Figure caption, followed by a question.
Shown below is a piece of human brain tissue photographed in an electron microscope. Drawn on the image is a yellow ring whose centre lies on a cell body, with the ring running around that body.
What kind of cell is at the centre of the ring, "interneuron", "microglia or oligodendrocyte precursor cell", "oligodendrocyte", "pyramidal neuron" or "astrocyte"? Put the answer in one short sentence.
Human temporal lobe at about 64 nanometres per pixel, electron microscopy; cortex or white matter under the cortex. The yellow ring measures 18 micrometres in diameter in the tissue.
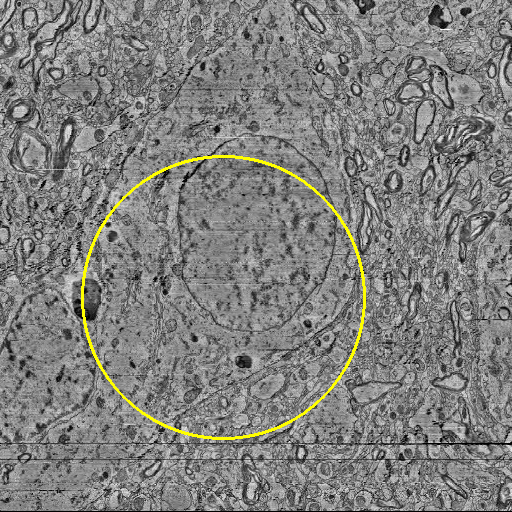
The ring marks the cell body of a pyramidal neuron.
